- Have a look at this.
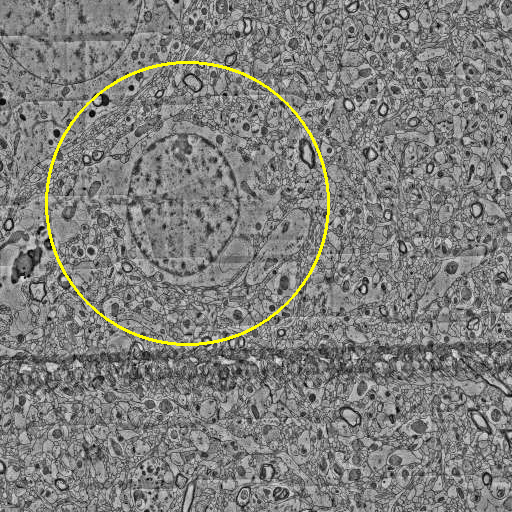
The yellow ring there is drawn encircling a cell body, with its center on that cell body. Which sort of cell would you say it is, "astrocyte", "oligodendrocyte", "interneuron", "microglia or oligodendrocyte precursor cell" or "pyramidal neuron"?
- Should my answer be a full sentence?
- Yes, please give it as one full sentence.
For this picture, an astrocyte is the cell where the yellow ring has its center.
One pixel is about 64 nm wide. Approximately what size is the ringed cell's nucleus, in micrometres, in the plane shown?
In this plane, approximately 9 by 7 micrometers.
